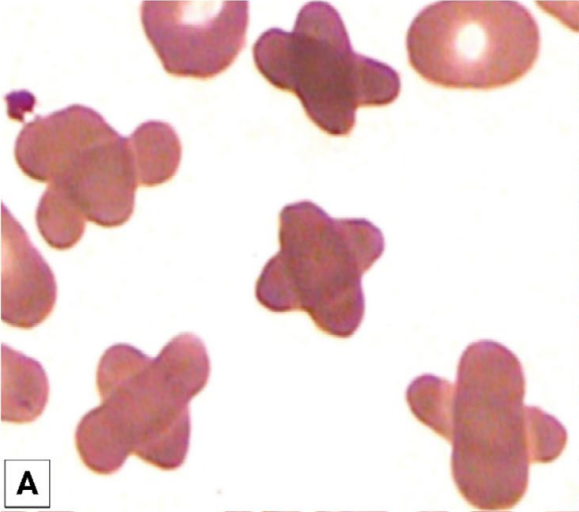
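High-power view of a blood smear with anucleate red cells, several lying in crossed pairs. Each pair consists of two elongated, rounded-ended cells overlapping near their middles at roughly right angles, so the outline is a cross or plus shape with four rounded arms. Where the cells overlap the pink-mauve color is deeper. Single red cells nearby are oval or rounded, some with a pale center. The background is clear, with a small dark fragment at the left edge. No nucleated cells are in view.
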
